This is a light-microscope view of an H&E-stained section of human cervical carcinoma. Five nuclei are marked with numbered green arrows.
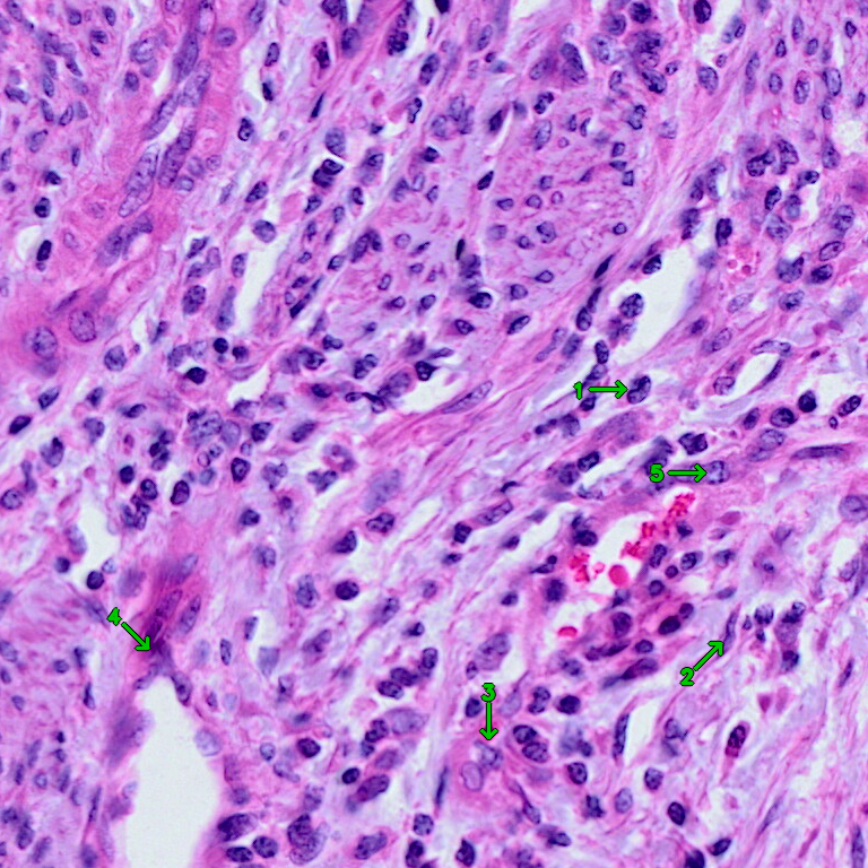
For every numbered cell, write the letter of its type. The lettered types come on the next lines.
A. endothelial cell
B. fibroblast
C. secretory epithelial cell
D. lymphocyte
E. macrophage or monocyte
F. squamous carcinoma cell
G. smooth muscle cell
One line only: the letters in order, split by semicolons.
D; B; A; A; A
